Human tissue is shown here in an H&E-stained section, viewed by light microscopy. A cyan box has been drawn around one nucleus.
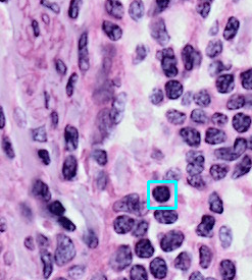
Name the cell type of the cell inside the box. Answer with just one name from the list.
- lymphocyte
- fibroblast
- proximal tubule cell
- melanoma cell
lymphocyte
